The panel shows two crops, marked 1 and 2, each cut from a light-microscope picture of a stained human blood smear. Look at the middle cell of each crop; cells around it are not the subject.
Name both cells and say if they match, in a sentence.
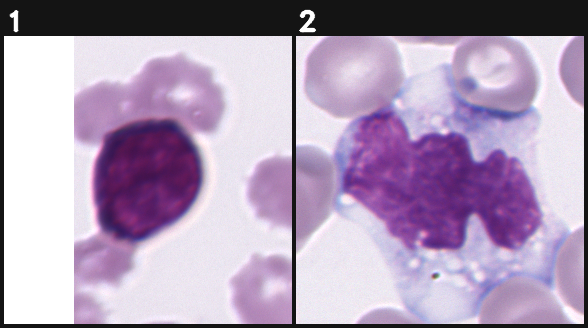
No, it is crop 1 that shows a myeloblast, and crop 2 shows a monocyte.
